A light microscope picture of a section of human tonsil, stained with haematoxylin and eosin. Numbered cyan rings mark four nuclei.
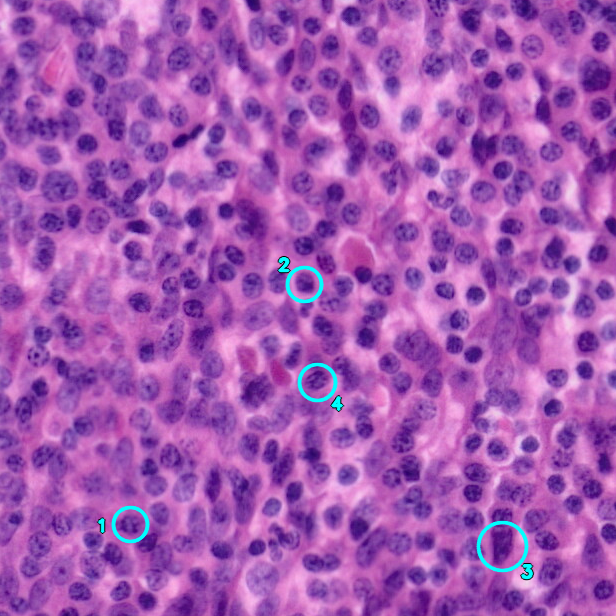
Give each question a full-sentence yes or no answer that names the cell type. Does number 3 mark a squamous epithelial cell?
Yes, and to answer plainly, cell 3 is a squamous epithelial cell.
